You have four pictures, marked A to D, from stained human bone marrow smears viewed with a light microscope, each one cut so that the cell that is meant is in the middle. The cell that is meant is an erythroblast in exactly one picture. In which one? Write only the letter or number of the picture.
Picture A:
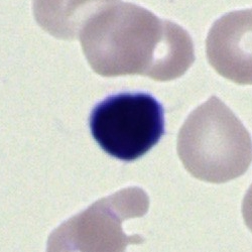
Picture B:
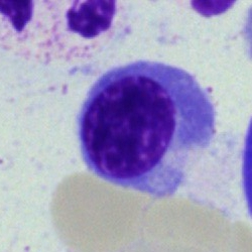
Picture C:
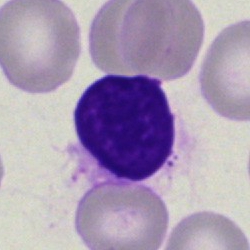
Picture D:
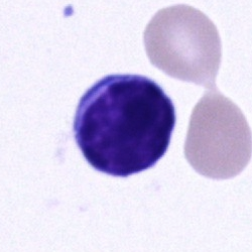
B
